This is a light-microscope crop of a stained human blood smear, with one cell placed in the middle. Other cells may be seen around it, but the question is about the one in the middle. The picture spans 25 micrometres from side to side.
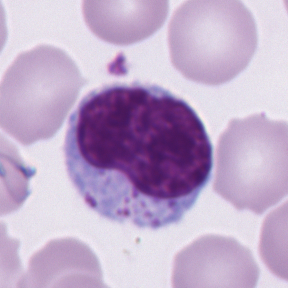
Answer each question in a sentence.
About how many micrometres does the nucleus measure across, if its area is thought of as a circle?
The nucleus is about 10 micrometres across.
